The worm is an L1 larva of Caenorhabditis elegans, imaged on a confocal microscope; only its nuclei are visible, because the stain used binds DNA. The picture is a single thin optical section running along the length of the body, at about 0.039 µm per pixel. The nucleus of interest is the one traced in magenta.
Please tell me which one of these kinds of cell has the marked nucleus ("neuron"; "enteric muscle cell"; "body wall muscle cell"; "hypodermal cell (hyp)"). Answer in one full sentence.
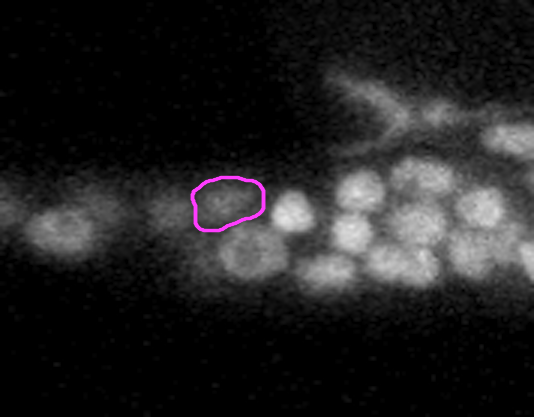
The marked nucleus is that of a hypodermal cell (hyp).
